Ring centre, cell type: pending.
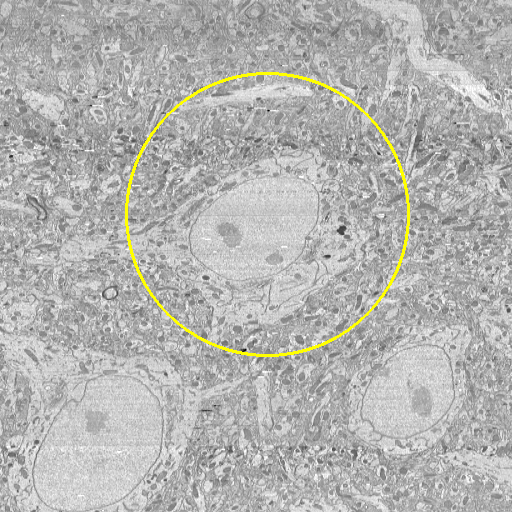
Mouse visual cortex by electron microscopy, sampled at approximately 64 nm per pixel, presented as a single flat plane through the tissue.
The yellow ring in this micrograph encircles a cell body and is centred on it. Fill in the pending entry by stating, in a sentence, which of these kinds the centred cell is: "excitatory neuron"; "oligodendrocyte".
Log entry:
The centred cell is recorded as an excitatory neuron.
